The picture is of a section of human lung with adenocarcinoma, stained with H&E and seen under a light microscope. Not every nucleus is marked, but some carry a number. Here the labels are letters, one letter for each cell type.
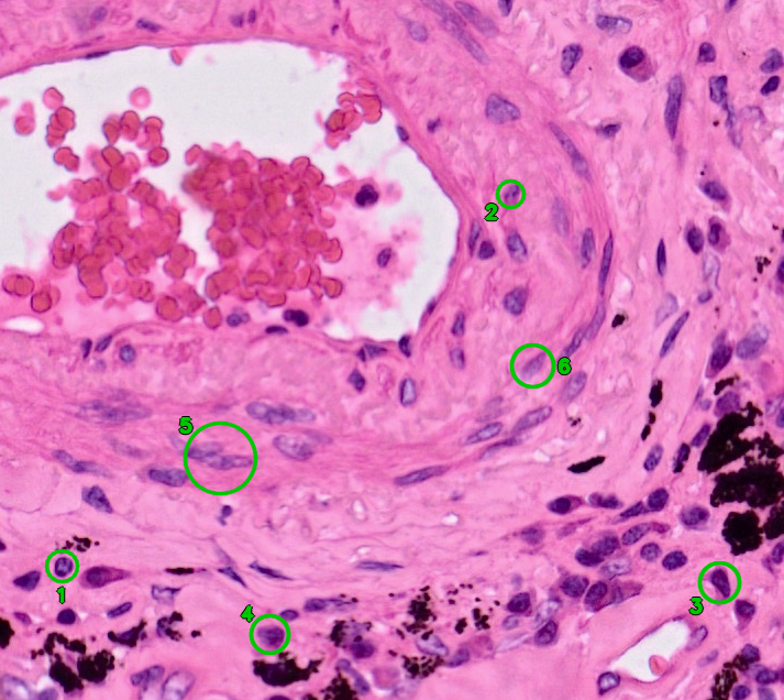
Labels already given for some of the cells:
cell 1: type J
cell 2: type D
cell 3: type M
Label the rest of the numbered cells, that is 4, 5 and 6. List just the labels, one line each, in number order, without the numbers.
type M
type D
type D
